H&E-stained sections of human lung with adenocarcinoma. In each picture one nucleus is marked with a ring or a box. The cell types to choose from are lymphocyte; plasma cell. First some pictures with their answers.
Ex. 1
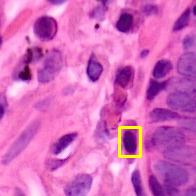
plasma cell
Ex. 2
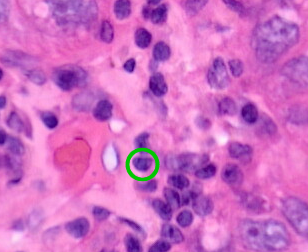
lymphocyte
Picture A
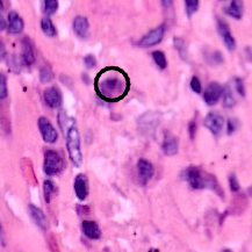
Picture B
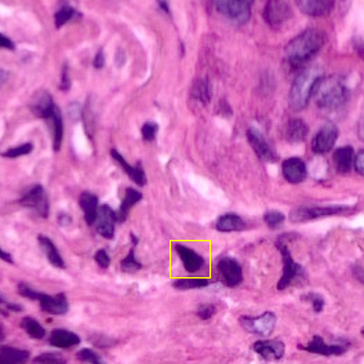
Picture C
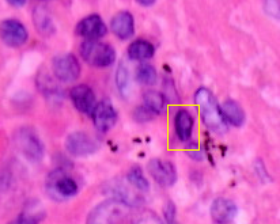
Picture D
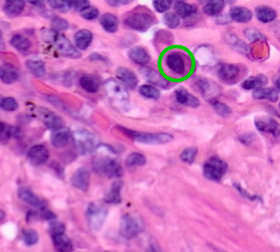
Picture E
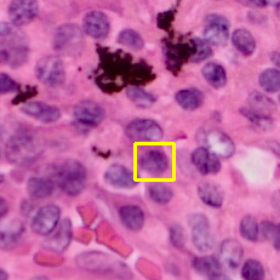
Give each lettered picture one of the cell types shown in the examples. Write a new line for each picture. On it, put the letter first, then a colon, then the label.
A: plasma cell
B: plasma cell
C: plasma cell
D: plasma cell
E: plasma cell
